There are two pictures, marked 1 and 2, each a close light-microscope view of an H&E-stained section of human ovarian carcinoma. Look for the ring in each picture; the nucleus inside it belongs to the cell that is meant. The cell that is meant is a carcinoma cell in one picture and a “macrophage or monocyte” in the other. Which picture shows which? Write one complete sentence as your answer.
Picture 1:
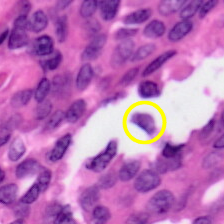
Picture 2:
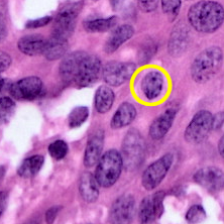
Picture 2 shows a “macrophage or monocyte”, while picture 1 shows a carcinoma cell.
